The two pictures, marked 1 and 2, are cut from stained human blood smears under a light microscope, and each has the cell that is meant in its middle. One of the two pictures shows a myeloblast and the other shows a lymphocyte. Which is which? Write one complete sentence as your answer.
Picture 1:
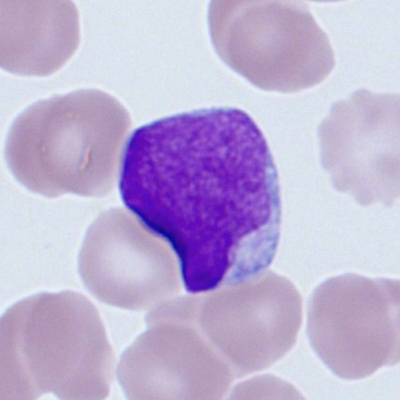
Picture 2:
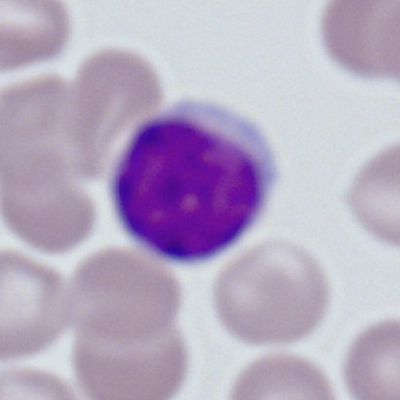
In picture 1 the cell is a myeloblast; in picture 2, a lymphocyte.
